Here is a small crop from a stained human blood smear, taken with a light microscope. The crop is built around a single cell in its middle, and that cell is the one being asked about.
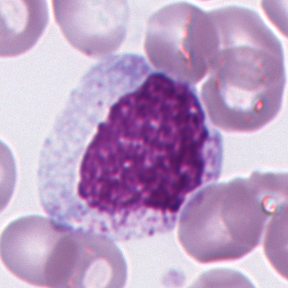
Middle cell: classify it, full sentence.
At the middle of the frame sits a myelocyte.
